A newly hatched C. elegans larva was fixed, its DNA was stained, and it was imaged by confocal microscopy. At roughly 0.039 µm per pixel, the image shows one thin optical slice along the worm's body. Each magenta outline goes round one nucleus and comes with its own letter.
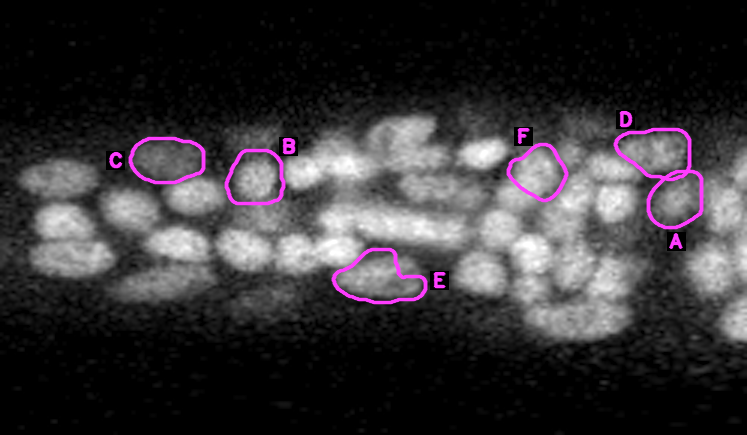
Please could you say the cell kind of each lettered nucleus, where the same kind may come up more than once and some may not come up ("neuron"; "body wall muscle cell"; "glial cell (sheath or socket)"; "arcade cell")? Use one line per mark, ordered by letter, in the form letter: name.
A: neuron
B: arcade cell
C: body wall muscle cell
D: body wall muscle cell
E: body wall muscle cell
F: neuron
